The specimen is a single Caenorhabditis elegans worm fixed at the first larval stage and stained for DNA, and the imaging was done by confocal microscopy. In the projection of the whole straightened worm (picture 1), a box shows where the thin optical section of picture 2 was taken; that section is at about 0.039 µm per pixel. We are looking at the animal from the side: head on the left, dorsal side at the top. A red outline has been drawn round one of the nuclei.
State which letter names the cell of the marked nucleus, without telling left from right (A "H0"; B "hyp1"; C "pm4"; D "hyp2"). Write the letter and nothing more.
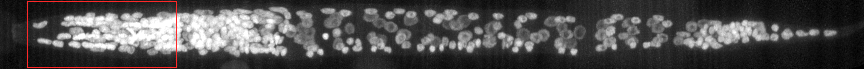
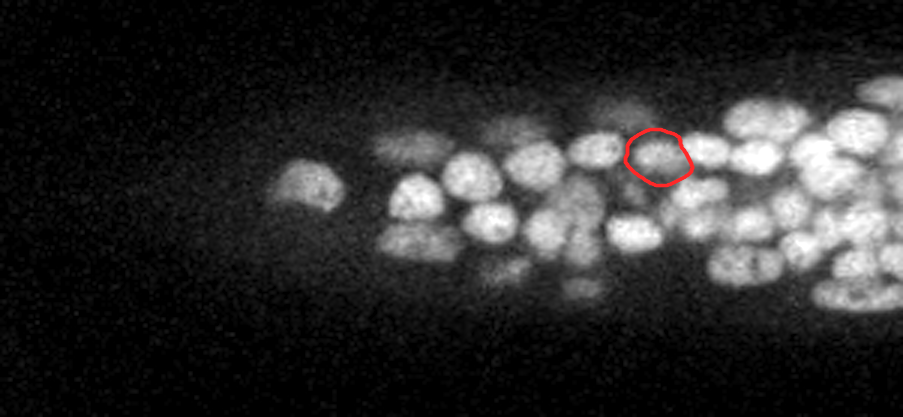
B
